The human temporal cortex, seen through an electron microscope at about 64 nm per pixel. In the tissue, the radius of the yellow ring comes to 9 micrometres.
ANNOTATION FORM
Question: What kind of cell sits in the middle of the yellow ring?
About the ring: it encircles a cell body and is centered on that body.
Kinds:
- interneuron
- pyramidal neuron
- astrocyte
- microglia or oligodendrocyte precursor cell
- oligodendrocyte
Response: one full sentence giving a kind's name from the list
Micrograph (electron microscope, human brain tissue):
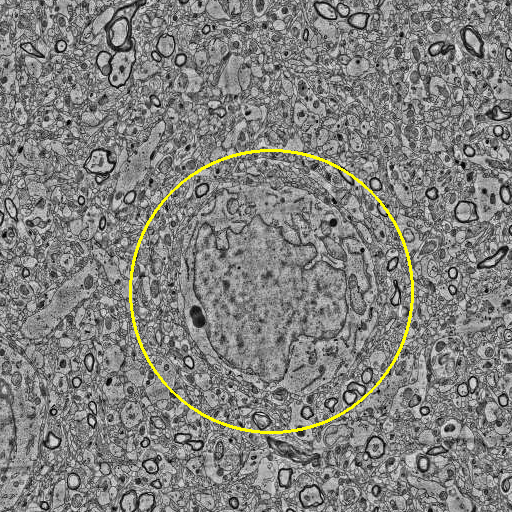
The kind of cell found at the center of the yellow ring in the micrograph is an interneuron.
